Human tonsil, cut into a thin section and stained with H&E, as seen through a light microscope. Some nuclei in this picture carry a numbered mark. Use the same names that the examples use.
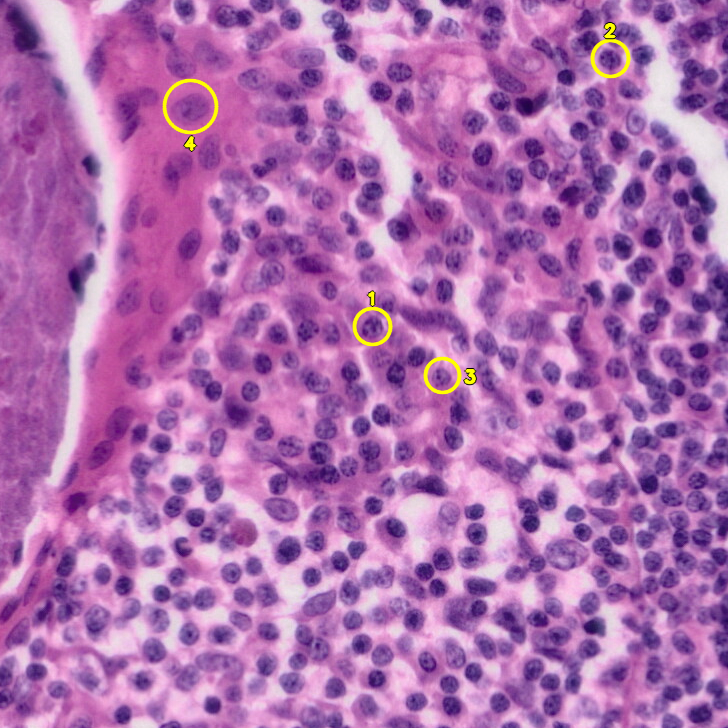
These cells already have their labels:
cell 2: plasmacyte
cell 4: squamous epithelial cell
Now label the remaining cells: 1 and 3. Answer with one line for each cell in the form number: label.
1: plasmacyte
3: plasmacyte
